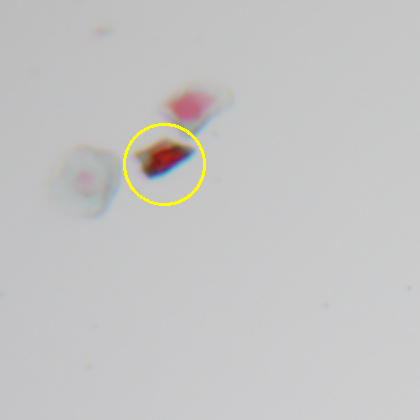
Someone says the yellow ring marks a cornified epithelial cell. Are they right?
They are right: it is a cornified epithelial cell.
